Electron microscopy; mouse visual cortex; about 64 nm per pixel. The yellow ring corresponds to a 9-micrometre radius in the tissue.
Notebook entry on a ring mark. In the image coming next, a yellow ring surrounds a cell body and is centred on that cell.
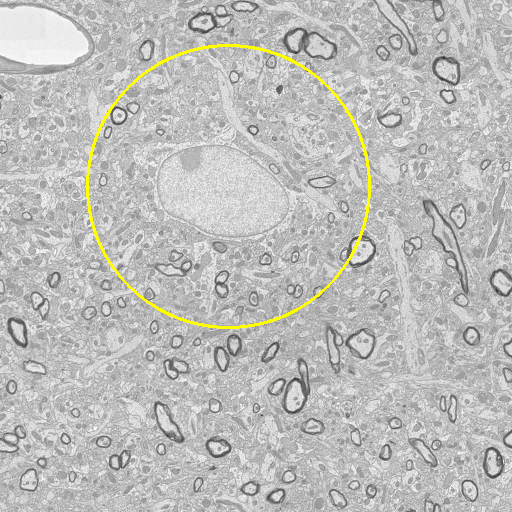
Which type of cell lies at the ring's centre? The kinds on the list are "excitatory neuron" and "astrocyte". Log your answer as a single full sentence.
Centred in the yellow ring is an astrocyte, the cell recorded for this image.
